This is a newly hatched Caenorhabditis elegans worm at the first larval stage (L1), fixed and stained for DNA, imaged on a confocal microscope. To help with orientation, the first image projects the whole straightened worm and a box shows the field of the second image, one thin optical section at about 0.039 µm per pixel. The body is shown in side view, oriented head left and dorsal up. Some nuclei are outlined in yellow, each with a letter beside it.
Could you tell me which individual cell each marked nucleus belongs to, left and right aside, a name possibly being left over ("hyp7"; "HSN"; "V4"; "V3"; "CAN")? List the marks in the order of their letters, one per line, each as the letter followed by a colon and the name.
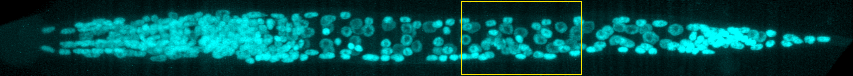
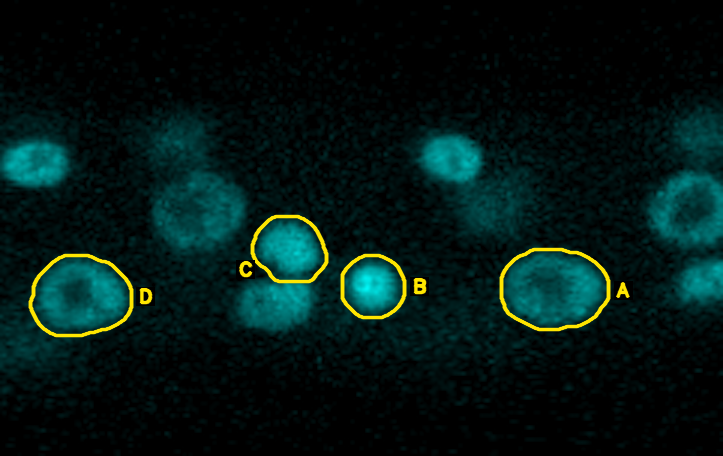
A: V4
B: HSN
C: CAN
D: V3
